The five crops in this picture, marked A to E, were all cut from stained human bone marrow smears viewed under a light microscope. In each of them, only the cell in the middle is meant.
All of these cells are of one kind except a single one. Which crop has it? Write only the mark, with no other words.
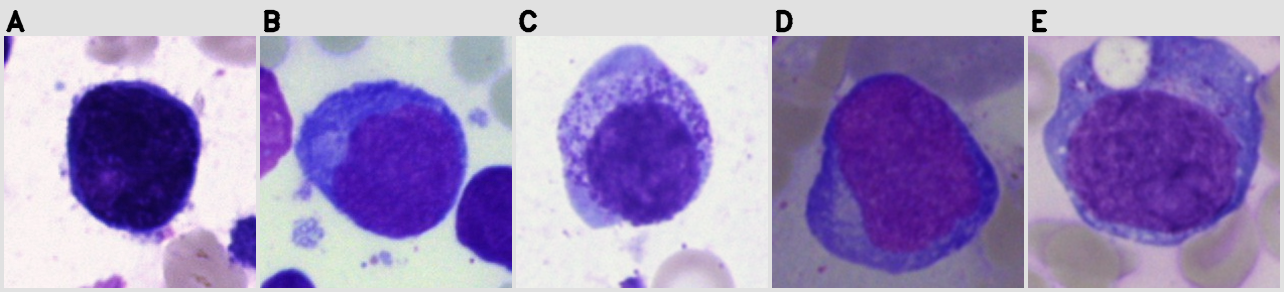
C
